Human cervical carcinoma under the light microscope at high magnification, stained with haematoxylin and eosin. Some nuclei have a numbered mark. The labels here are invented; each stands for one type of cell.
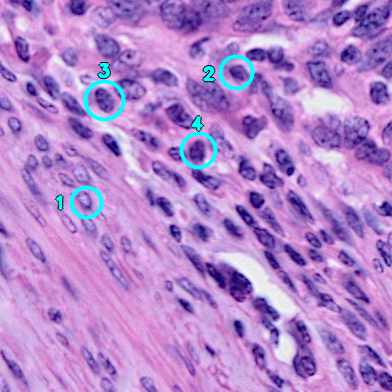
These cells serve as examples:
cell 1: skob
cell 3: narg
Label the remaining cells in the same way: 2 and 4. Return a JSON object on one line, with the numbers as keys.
{"2": "narg", "4": "narg"}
